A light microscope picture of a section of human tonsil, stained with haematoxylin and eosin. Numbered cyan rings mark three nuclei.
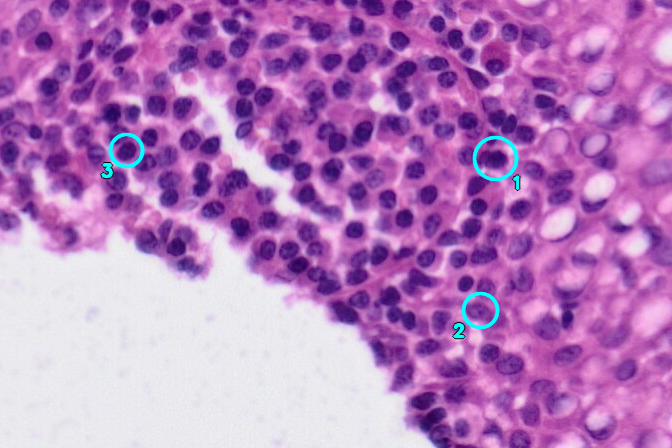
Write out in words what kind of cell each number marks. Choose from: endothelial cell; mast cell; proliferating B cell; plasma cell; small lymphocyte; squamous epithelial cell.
Cell 1 is a squamous epithelial cell, cell 2 is a squamous epithelial cell and cell 3 is a plasma cell.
